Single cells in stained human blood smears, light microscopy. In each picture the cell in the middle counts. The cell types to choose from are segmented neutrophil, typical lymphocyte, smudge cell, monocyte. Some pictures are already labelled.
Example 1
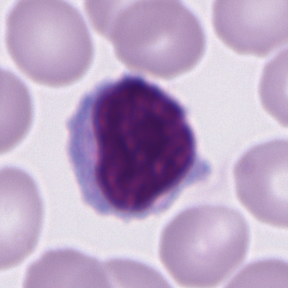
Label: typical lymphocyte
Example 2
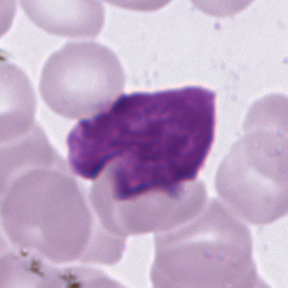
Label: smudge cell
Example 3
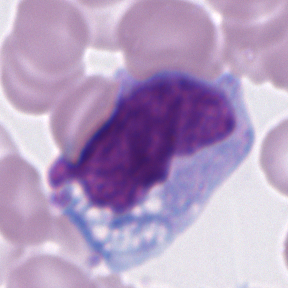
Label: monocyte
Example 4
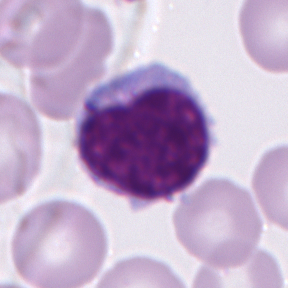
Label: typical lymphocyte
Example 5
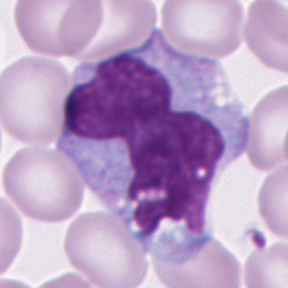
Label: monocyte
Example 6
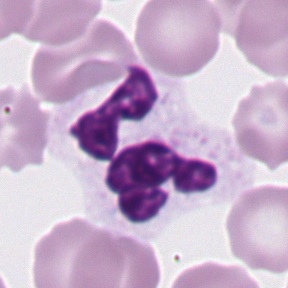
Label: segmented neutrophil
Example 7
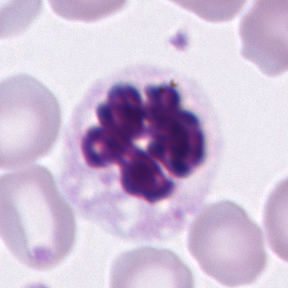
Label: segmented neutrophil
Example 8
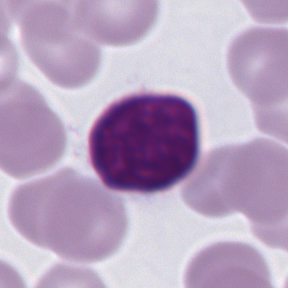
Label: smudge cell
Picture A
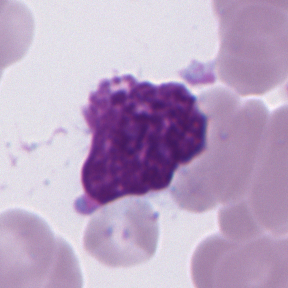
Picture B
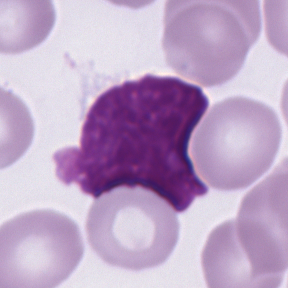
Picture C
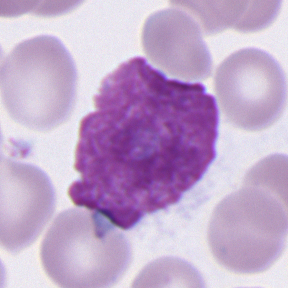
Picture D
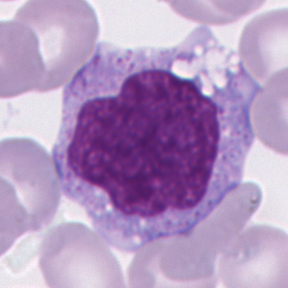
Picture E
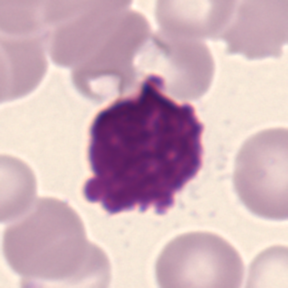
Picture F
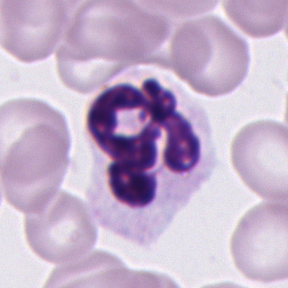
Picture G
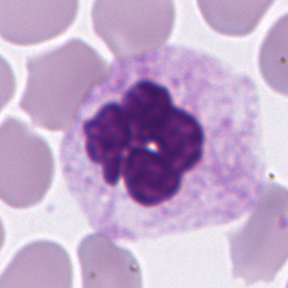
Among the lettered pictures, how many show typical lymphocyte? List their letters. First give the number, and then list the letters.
0, none of them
